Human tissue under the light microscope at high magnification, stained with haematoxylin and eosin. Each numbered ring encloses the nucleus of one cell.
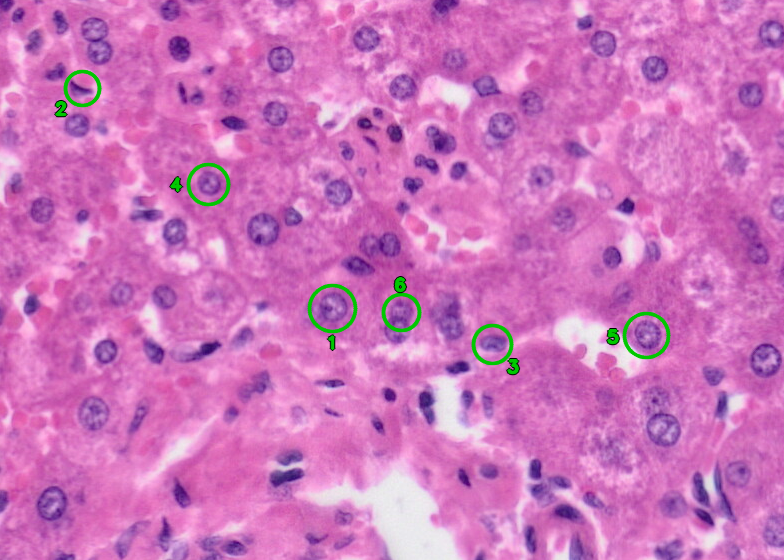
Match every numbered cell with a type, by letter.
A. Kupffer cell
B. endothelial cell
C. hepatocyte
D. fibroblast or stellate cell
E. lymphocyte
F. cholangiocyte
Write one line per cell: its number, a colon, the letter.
1: C
2: B
3: D
4: C
5: C
6: C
